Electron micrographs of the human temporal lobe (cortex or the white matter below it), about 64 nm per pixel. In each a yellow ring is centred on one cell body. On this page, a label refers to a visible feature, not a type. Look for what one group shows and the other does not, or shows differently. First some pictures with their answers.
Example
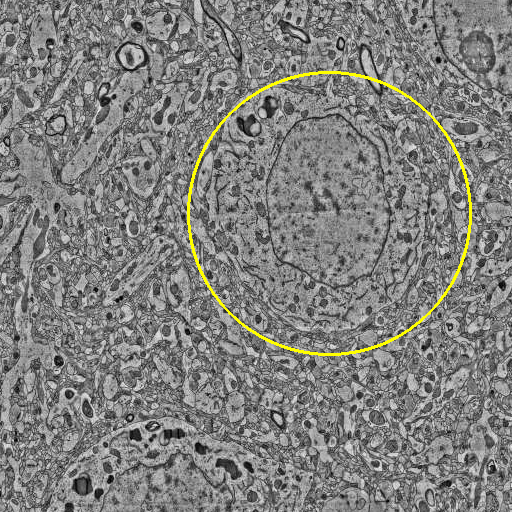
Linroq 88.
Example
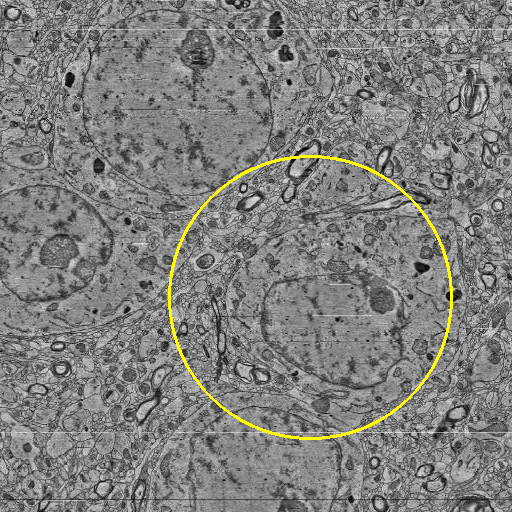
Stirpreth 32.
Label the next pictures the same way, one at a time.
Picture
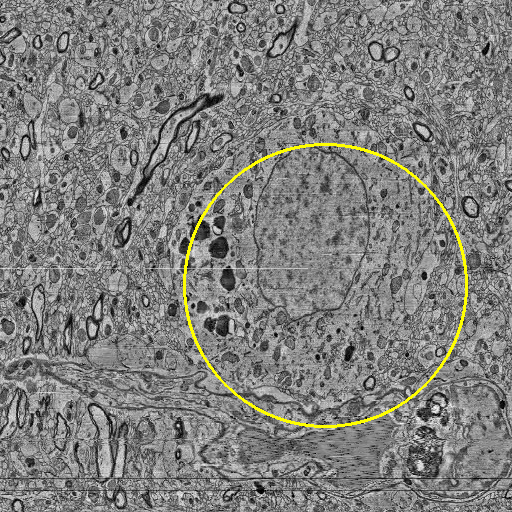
Linroq 88.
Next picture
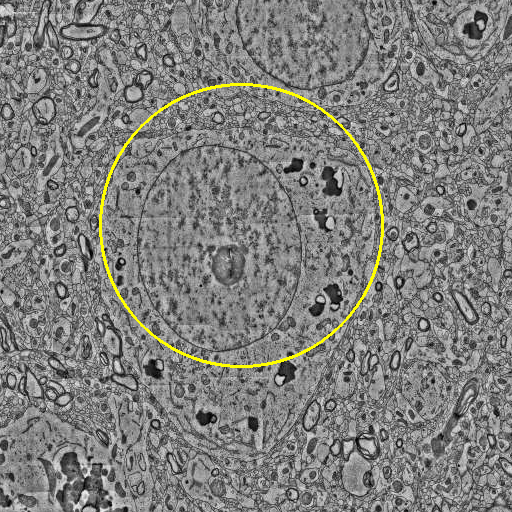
Stirpreth 32.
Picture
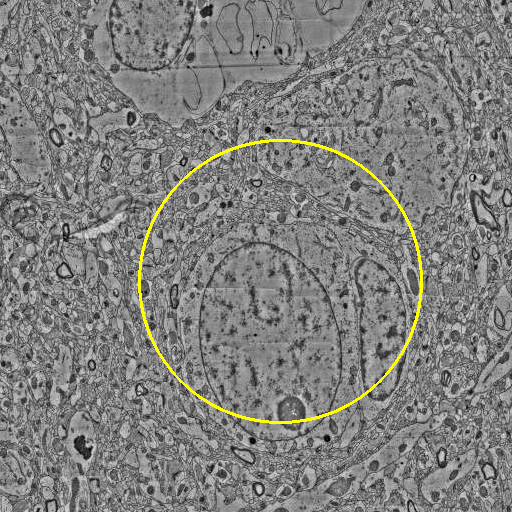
Stirpreth 32.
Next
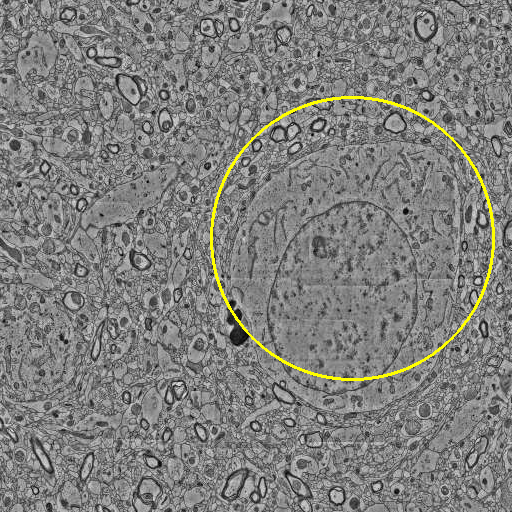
Stirpreth 32.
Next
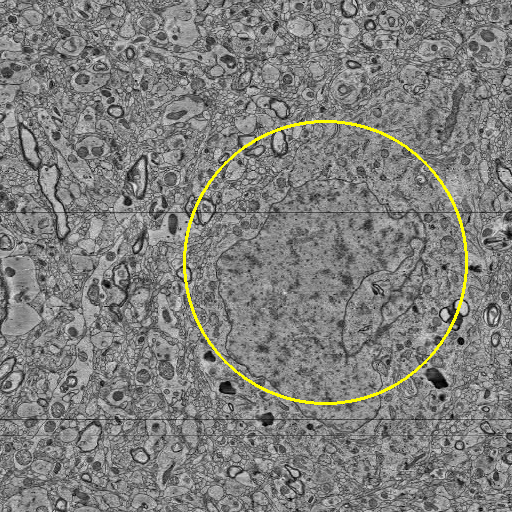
Linroq 88.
